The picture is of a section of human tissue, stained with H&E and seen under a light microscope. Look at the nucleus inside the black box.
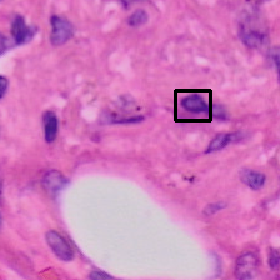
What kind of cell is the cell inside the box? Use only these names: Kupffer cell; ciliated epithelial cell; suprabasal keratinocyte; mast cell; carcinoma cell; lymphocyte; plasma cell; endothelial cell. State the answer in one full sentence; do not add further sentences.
Cell type answer for this item: the cell inside the box is a plasma cell.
